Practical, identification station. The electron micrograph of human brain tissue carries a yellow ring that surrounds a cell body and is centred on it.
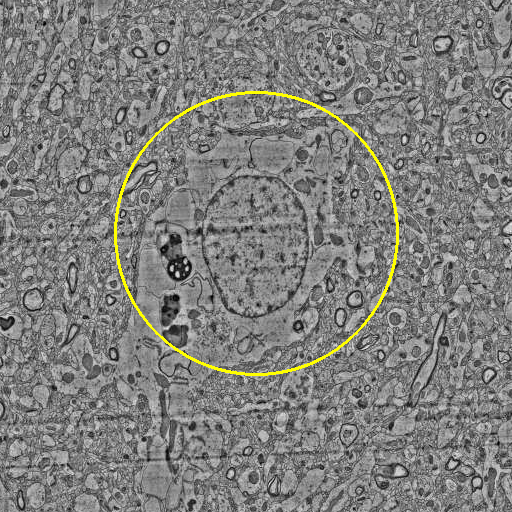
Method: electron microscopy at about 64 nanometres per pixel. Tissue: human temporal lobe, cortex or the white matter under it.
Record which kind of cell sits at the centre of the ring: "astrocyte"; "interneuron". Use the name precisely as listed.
astrocyte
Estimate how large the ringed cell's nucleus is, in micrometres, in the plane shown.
In this plane, about 9 micrometres in length and 7 in width.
